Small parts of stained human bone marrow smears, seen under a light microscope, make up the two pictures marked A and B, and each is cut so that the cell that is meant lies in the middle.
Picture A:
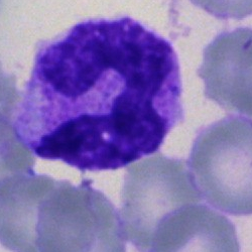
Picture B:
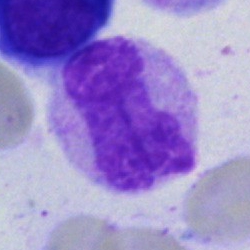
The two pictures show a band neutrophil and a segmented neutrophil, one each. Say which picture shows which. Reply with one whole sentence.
Picture A shows a segmented neutrophil and picture B shows a band neutrophil.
